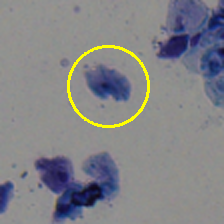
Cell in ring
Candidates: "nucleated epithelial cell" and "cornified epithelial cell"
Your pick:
nucleated epithelial cell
